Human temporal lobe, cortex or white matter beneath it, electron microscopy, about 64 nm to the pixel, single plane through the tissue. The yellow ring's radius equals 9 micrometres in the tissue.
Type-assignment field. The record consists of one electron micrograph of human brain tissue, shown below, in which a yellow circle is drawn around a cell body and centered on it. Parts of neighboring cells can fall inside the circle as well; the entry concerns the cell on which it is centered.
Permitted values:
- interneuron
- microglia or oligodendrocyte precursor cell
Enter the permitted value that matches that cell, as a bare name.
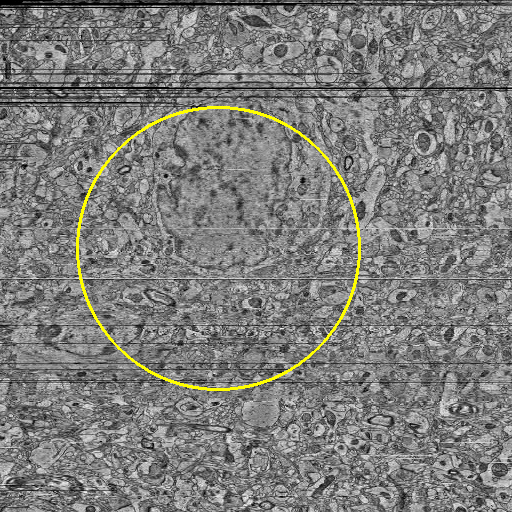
interneuron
